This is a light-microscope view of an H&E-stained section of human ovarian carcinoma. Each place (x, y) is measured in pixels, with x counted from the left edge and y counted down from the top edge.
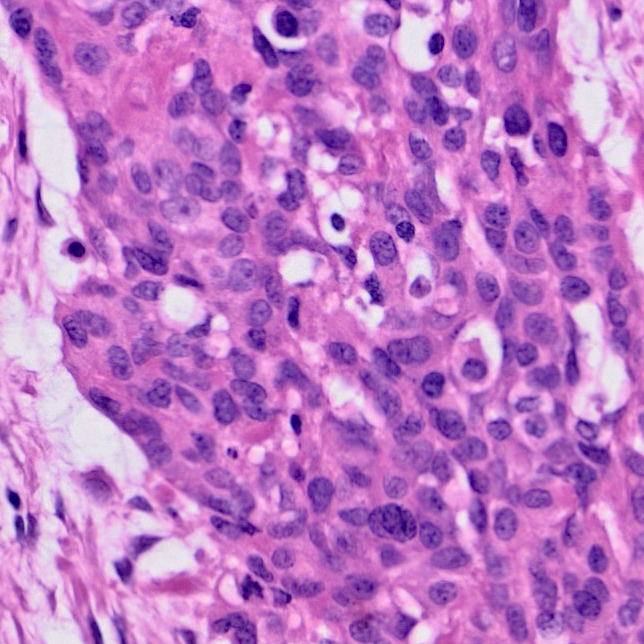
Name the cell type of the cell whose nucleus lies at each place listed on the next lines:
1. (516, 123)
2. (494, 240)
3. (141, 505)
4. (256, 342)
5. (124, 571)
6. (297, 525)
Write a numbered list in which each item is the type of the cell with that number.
1. carcinoma cell
2. carcinoma cell
3. fibroblast
4. carcinoma cell
5. fibroblast
6. carcinoma cell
